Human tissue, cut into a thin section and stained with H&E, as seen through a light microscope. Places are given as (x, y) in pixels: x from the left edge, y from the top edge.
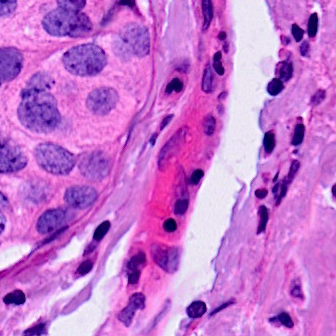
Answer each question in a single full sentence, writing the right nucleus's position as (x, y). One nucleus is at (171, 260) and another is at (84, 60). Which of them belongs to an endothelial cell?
Among the two, the nucleus at (171, 260) is the nucleus of an endothelial cell.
